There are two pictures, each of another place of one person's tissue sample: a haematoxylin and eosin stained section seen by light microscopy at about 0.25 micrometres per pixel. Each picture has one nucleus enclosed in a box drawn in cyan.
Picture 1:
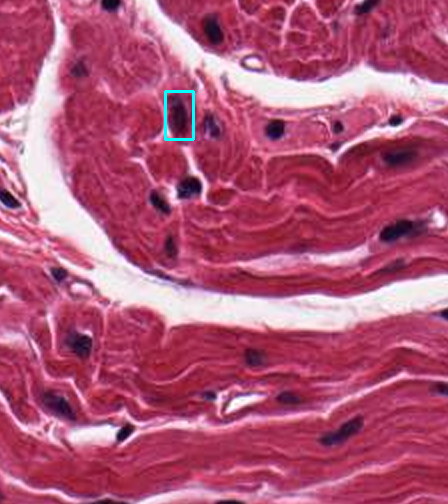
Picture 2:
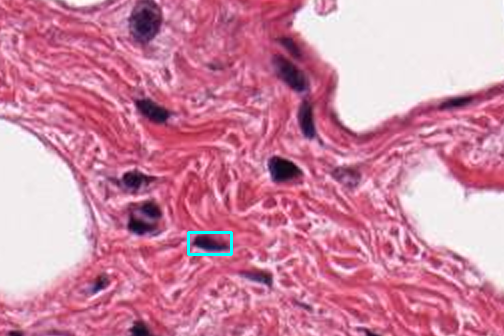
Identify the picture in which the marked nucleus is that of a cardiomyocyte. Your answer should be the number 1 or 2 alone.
1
